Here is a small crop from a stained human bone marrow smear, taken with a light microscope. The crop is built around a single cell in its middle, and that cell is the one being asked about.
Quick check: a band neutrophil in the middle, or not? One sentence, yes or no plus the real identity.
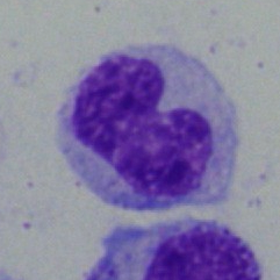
Yes, the cell lying in the centre of the crop is identified as a band neutrophil.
